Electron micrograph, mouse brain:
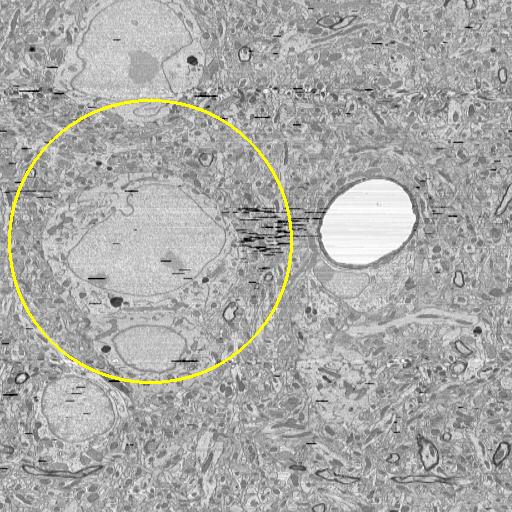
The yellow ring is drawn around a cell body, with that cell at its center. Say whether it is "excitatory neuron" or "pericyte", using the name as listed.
excitatory neuron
